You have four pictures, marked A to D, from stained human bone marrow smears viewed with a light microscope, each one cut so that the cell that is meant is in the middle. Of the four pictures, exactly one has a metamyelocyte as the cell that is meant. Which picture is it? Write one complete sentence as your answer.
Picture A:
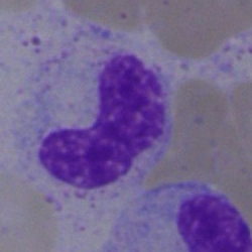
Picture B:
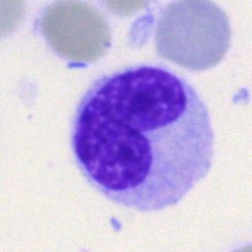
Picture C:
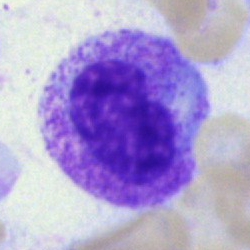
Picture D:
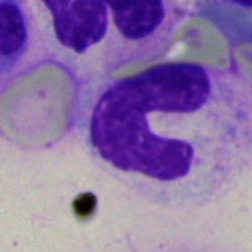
Picture C shows the metamyelocyte.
